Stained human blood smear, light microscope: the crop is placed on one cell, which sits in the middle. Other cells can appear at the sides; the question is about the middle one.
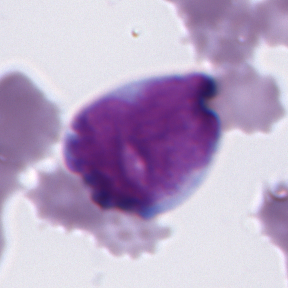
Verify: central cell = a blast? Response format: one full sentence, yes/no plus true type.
Yes, the central cell is to be recorded as a blast.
